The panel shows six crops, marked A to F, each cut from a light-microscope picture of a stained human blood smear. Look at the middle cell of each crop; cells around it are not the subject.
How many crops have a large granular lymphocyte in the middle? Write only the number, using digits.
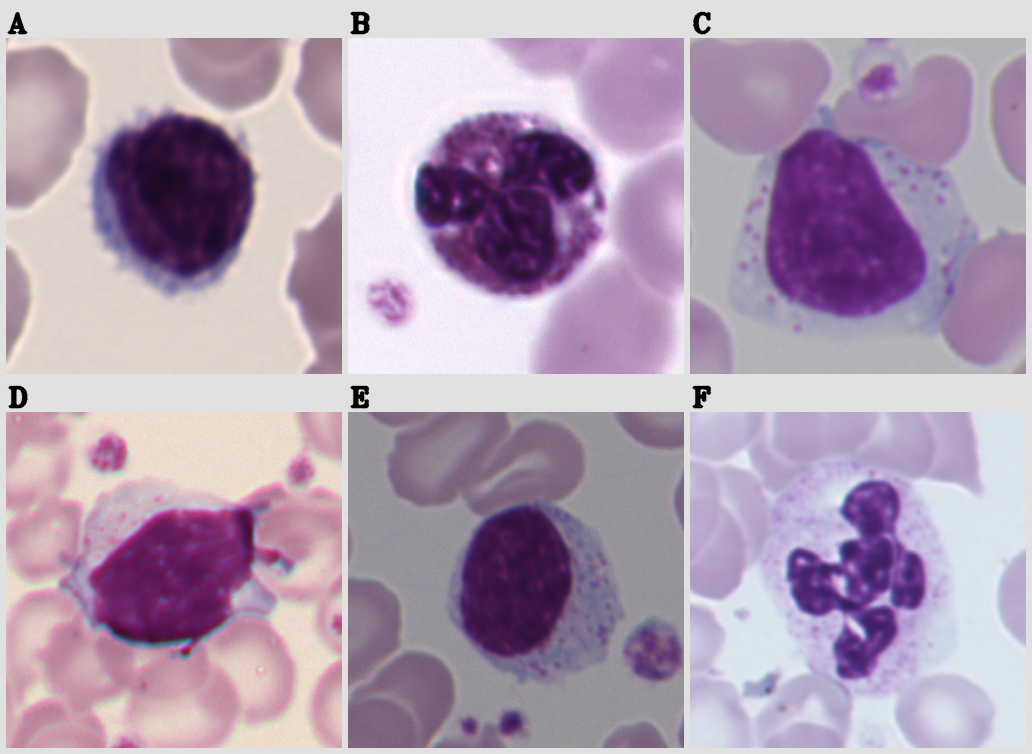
3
